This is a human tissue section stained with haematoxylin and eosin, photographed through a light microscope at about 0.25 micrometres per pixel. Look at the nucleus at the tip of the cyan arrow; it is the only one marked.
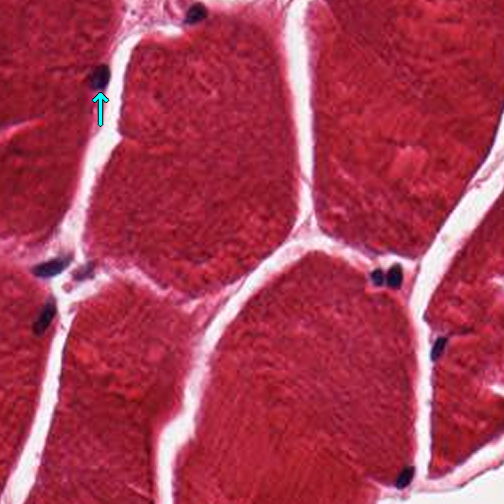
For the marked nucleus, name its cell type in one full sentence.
As shown, the marked nucleus belongs to a skeletal muscle fibre.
